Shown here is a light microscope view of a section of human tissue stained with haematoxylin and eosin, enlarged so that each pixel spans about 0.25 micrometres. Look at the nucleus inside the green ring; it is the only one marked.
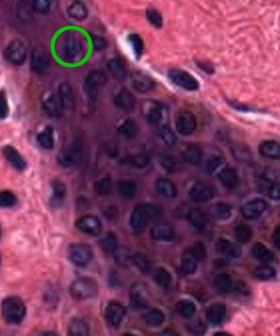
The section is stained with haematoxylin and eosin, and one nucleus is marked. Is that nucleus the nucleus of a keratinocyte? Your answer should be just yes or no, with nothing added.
yes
